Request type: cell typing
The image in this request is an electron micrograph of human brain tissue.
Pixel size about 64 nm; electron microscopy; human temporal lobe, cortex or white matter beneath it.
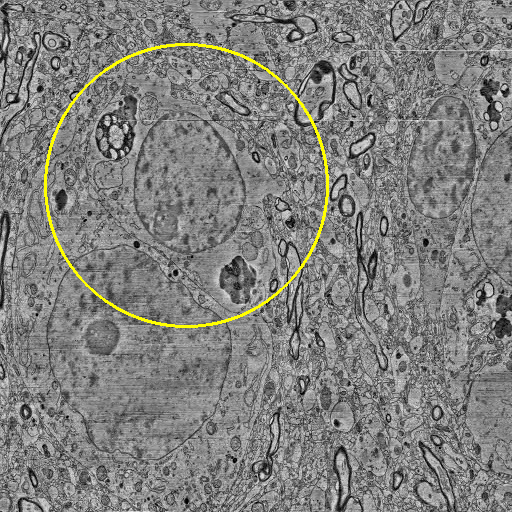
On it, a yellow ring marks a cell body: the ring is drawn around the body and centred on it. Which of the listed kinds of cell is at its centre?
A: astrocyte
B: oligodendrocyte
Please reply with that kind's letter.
A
